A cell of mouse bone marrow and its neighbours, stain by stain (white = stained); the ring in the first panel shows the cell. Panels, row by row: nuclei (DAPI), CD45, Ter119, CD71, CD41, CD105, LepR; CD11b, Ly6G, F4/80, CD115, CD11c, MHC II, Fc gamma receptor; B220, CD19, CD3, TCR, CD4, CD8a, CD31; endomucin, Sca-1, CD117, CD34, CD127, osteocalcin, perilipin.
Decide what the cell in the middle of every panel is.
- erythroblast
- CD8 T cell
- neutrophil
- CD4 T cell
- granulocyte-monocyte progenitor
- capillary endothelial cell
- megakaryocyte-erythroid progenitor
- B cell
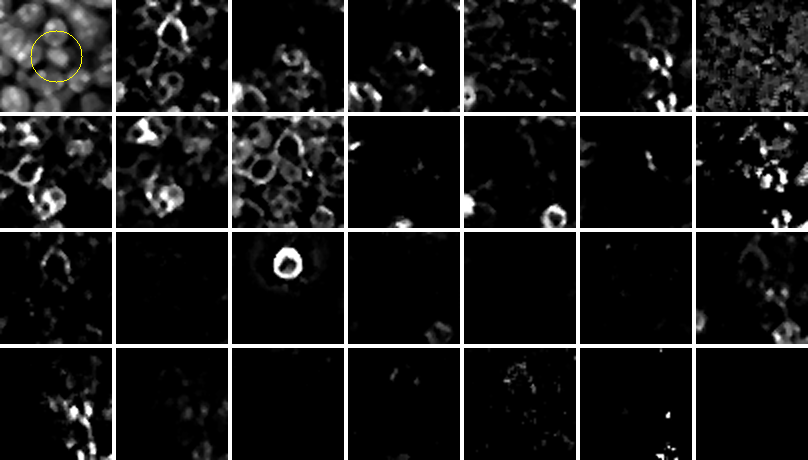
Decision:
capillary endothelial cell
